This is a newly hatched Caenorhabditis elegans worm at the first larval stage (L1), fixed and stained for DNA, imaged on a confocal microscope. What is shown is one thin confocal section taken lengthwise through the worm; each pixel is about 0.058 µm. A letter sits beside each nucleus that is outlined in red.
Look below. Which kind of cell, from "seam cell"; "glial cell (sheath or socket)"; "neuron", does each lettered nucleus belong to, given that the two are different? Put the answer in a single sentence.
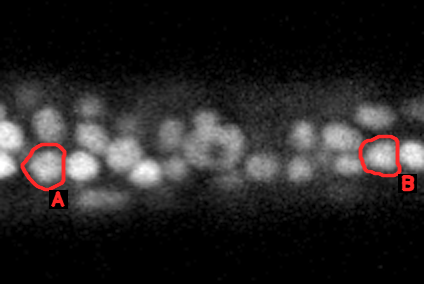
A is the nucleus of a neuron; B is the nucleus of a glial cell (sheath or socket).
